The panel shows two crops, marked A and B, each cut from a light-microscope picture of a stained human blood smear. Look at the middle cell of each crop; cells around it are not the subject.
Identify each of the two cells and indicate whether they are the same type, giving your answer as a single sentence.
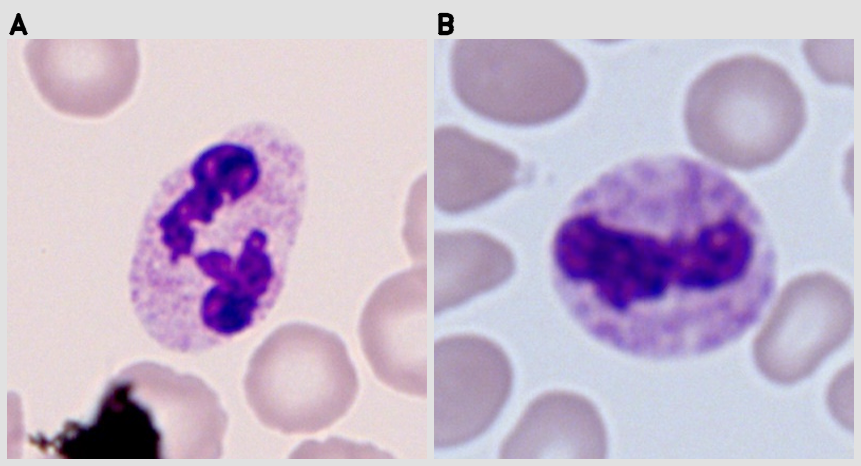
Yes, segmented neutrophils are shown in both crops.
